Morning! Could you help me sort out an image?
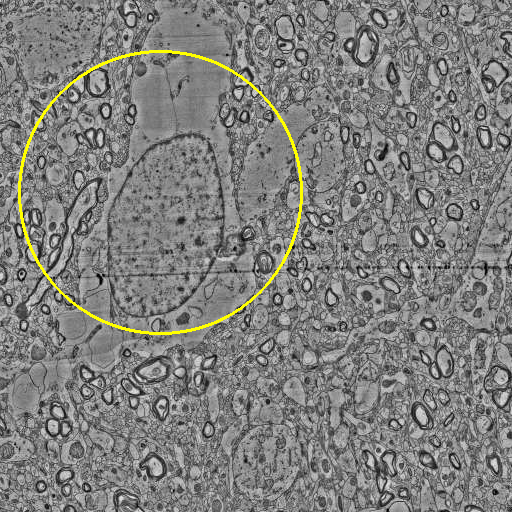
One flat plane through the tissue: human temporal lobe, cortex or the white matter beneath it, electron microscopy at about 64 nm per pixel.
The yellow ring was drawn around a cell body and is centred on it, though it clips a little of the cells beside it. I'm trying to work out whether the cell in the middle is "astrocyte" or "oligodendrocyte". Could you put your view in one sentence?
The ringed cell body is that of an astrocyte.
